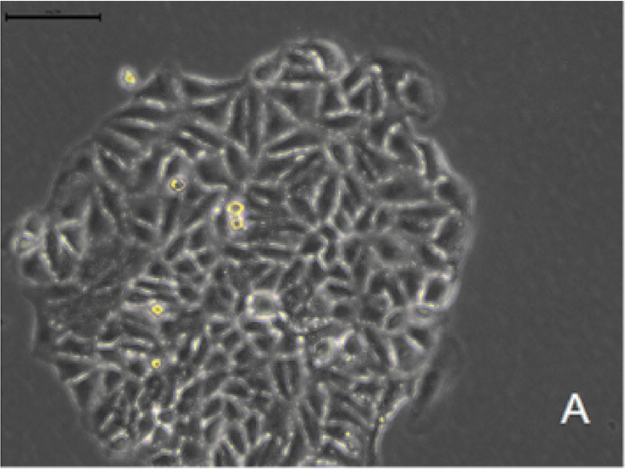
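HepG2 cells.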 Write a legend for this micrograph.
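A single compact colony of cultured epithelial-like cells is seen, with the cells packed tightly side by side and no gaps between them. The individual cells are small, polygonal to spindle-shaped, and their borders appear as bright phase-contrast outlines.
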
